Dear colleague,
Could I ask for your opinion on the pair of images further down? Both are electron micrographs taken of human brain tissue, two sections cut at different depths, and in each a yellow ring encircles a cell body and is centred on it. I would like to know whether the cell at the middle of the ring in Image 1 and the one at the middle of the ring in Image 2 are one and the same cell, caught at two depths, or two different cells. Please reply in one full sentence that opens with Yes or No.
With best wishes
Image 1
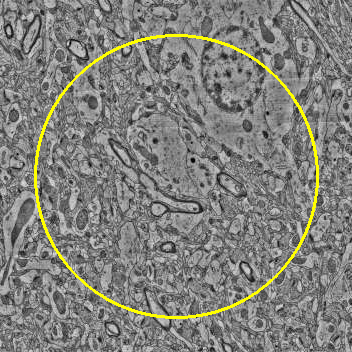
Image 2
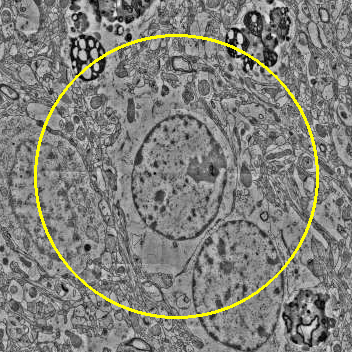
No, these two rings belong to two distinct cells.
